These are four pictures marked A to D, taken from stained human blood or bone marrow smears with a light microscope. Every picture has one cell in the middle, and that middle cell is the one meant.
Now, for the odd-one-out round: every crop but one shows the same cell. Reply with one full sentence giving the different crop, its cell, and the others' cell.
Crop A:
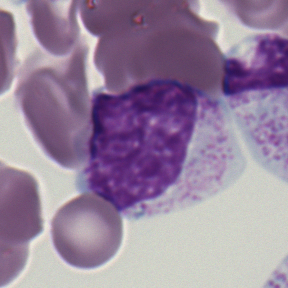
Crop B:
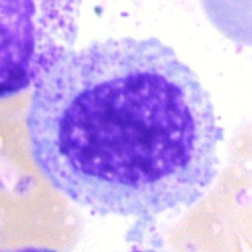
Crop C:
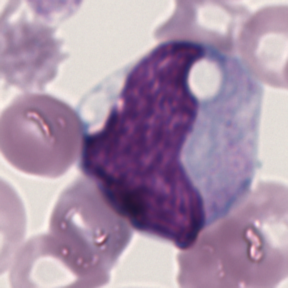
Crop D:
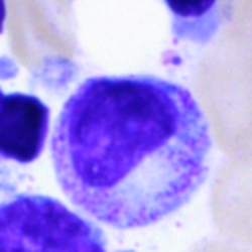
Crop C presents a monocyte, while myelocytes are presented by all other crops.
